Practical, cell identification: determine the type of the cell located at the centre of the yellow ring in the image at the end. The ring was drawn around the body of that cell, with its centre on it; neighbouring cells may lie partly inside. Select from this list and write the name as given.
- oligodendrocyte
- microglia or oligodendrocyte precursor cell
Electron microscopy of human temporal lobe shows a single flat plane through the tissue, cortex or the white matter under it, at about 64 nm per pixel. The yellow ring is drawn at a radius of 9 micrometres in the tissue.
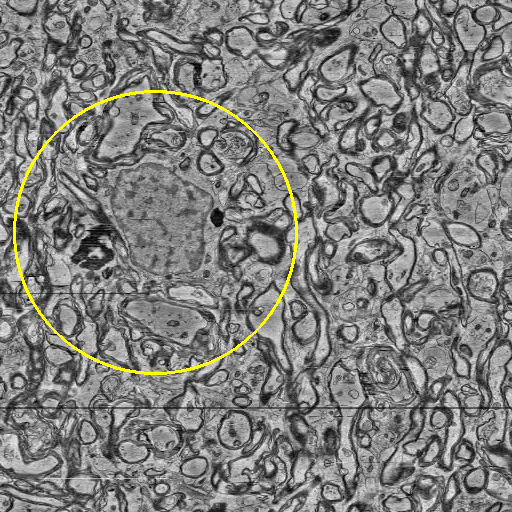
oligodendrocyte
